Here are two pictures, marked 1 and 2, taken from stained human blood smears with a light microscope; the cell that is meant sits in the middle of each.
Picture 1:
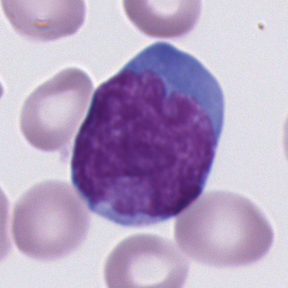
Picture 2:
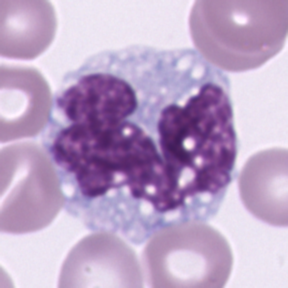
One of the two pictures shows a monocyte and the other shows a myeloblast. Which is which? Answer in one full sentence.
In picture 1 the cell is a myeloblast; in picture 2, a monocyte.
